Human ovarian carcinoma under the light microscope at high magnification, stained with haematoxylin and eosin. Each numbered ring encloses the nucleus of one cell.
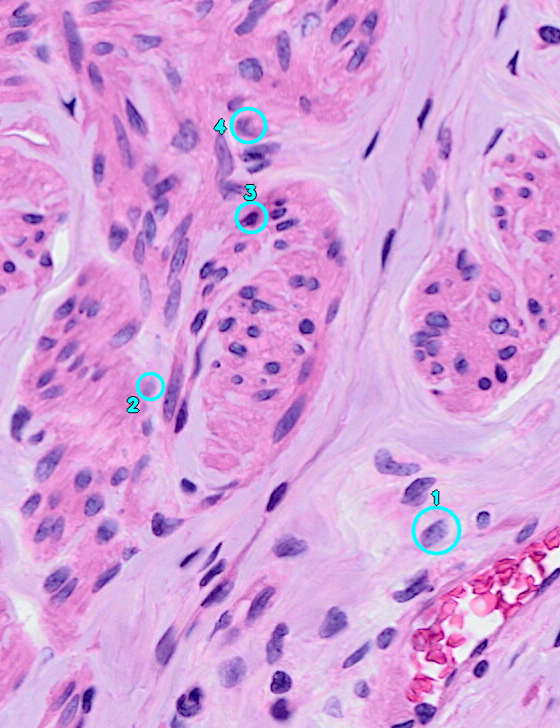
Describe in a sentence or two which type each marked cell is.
Cell 1 is a fibroblast. Cells 2, 3 and 4 are smooth muscle cells.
